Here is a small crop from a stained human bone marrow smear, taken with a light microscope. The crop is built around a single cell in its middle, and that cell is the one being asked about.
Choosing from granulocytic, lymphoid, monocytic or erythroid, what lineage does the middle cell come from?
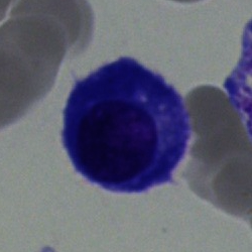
lymphoid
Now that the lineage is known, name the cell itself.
plasma cell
